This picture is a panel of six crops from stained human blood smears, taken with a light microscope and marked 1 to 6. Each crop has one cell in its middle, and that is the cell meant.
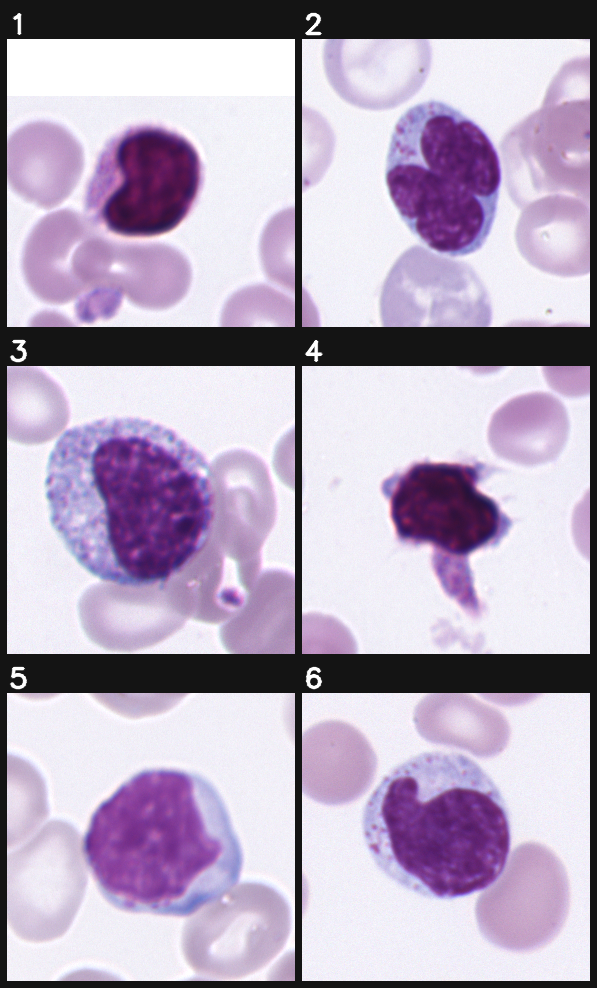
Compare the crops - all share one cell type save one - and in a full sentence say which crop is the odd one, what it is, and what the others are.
Crop 3 presents a myelocyte, while large granular lymphocytes are presented by all other crops.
